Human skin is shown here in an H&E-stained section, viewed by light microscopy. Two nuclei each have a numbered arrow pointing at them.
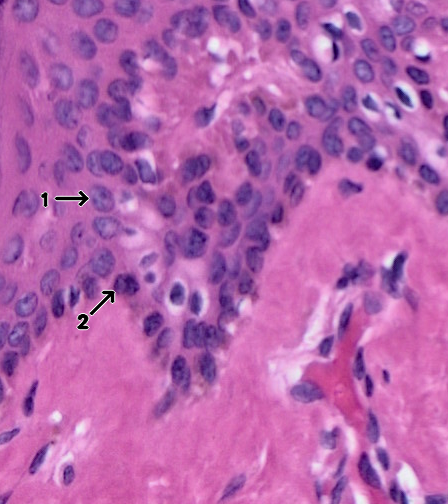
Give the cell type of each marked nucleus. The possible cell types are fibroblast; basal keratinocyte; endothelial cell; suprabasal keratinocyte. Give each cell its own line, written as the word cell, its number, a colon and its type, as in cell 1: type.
cell 1: suprabasal keratinocyte
cell 2: basal keratinocyte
